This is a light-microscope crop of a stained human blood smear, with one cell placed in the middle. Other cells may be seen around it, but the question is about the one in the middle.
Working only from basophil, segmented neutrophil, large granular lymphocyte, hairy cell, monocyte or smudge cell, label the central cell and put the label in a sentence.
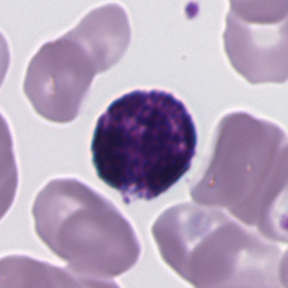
Standing at the centre of this crop is a basophil.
